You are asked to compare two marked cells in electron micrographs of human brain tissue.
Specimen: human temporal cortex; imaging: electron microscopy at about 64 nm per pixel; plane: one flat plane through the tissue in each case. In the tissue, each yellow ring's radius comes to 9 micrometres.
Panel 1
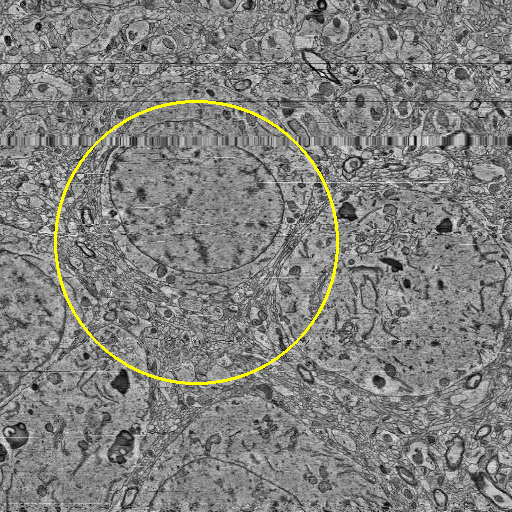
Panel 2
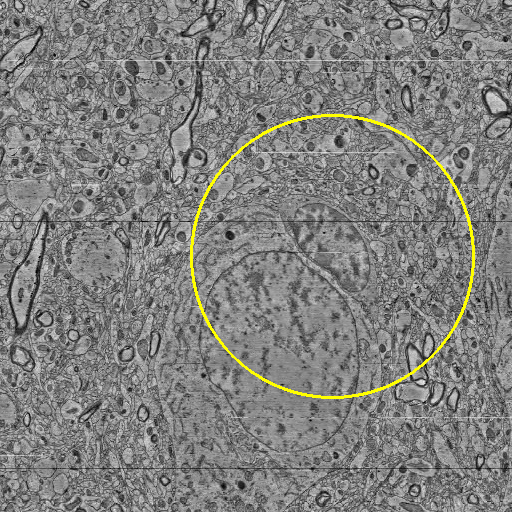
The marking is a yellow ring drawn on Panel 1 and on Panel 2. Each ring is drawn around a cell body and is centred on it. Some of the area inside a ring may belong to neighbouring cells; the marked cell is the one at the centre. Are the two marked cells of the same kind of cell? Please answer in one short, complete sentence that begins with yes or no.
No, the two marked cells are of two kinds.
